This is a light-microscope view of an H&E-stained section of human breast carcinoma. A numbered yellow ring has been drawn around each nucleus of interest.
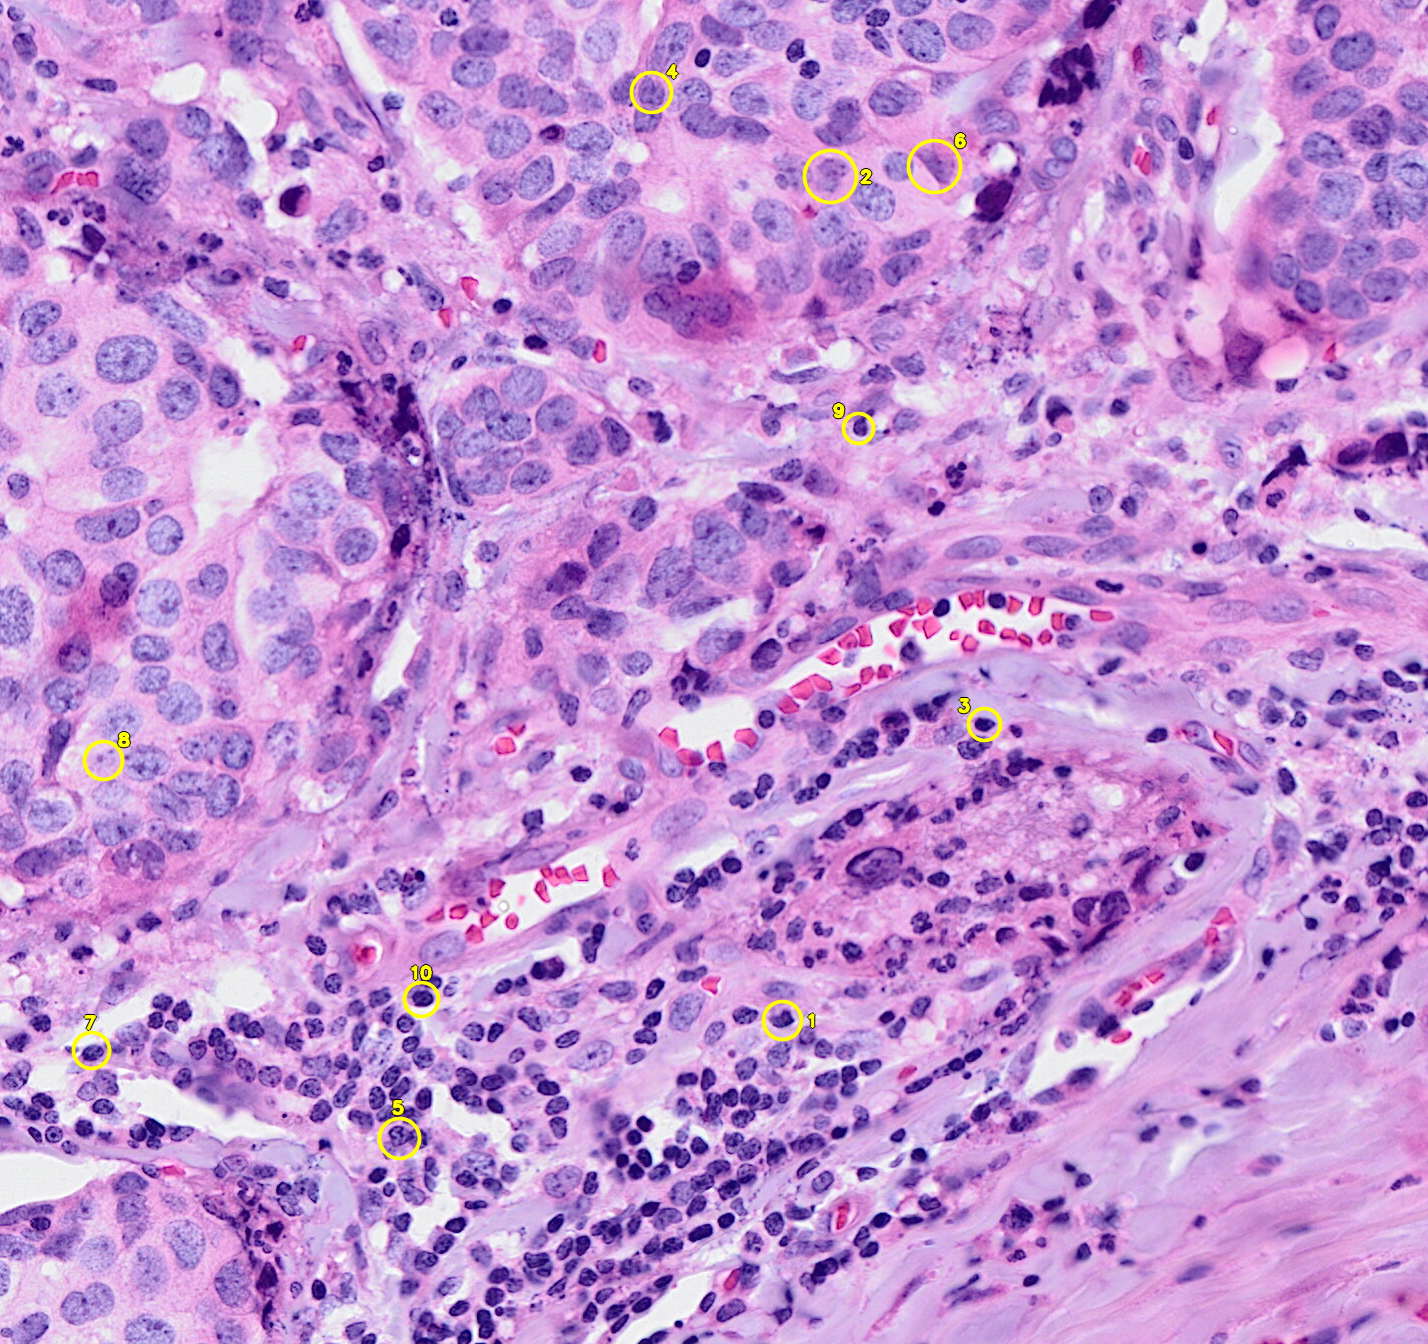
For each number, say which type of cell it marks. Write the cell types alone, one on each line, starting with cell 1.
lymphocyte
carcinoma cell
lymphocyte
carcinoma cell
lymphocyte
carcinoma cell
lymphocyte
carcinoma cell
lymphocyte
lymphocyte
